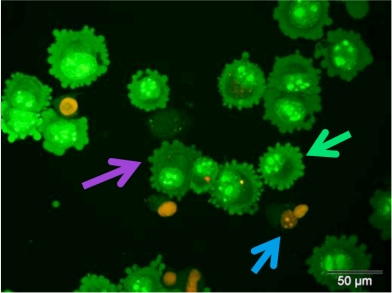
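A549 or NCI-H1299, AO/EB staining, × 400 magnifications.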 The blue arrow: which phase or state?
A: Late apoptotic cells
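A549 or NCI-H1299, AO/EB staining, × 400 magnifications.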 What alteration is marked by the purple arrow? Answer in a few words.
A: Membrane blebbing.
